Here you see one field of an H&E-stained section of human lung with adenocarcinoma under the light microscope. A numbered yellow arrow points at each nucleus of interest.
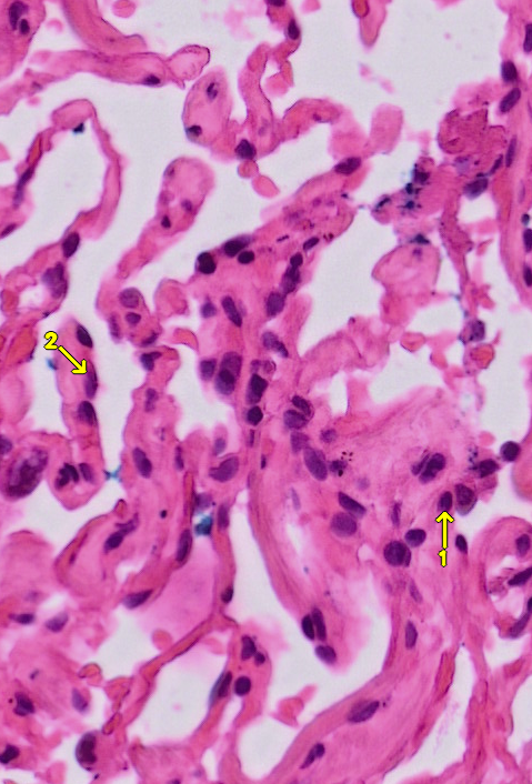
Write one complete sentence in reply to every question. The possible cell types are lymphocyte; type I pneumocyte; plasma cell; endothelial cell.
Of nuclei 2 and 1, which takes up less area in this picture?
Number 1 is smaller, since number 2 takes up about 1.5 times as much area.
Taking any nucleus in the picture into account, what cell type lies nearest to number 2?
It is an endothelial cell whose nucleus is nearest to number 2.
